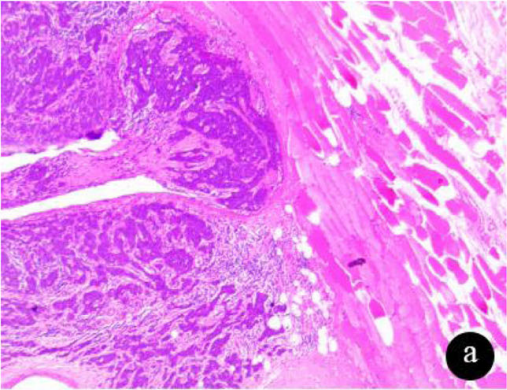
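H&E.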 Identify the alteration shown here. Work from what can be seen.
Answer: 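Densely cellular purple nodules occupy the left part of the panel.
Hence: infiltrating growth into the surrounding fat and muscle tissue.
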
